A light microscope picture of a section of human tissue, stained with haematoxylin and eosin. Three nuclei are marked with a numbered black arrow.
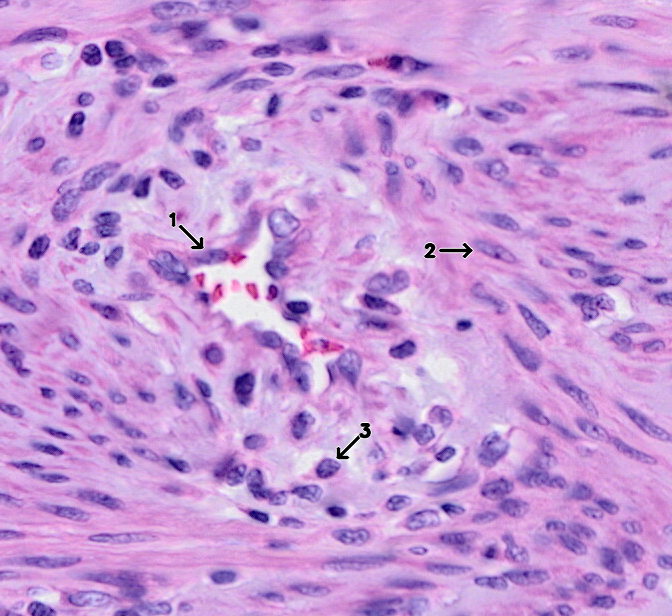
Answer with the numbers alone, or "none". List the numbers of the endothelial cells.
1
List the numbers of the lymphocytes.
3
